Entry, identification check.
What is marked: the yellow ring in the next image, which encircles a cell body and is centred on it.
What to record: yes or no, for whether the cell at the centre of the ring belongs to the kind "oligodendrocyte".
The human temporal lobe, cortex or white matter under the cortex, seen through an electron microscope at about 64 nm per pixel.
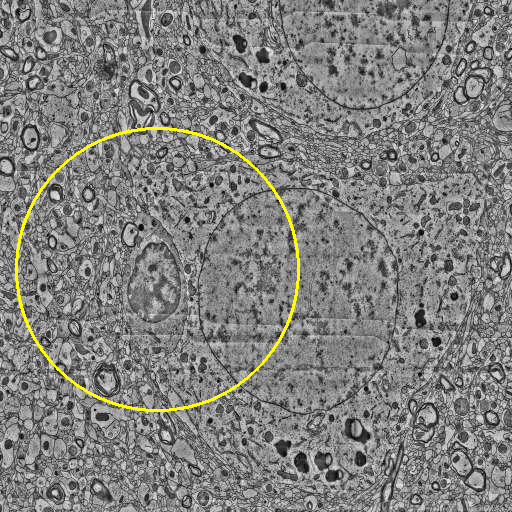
Yes, it belongs to that kind.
